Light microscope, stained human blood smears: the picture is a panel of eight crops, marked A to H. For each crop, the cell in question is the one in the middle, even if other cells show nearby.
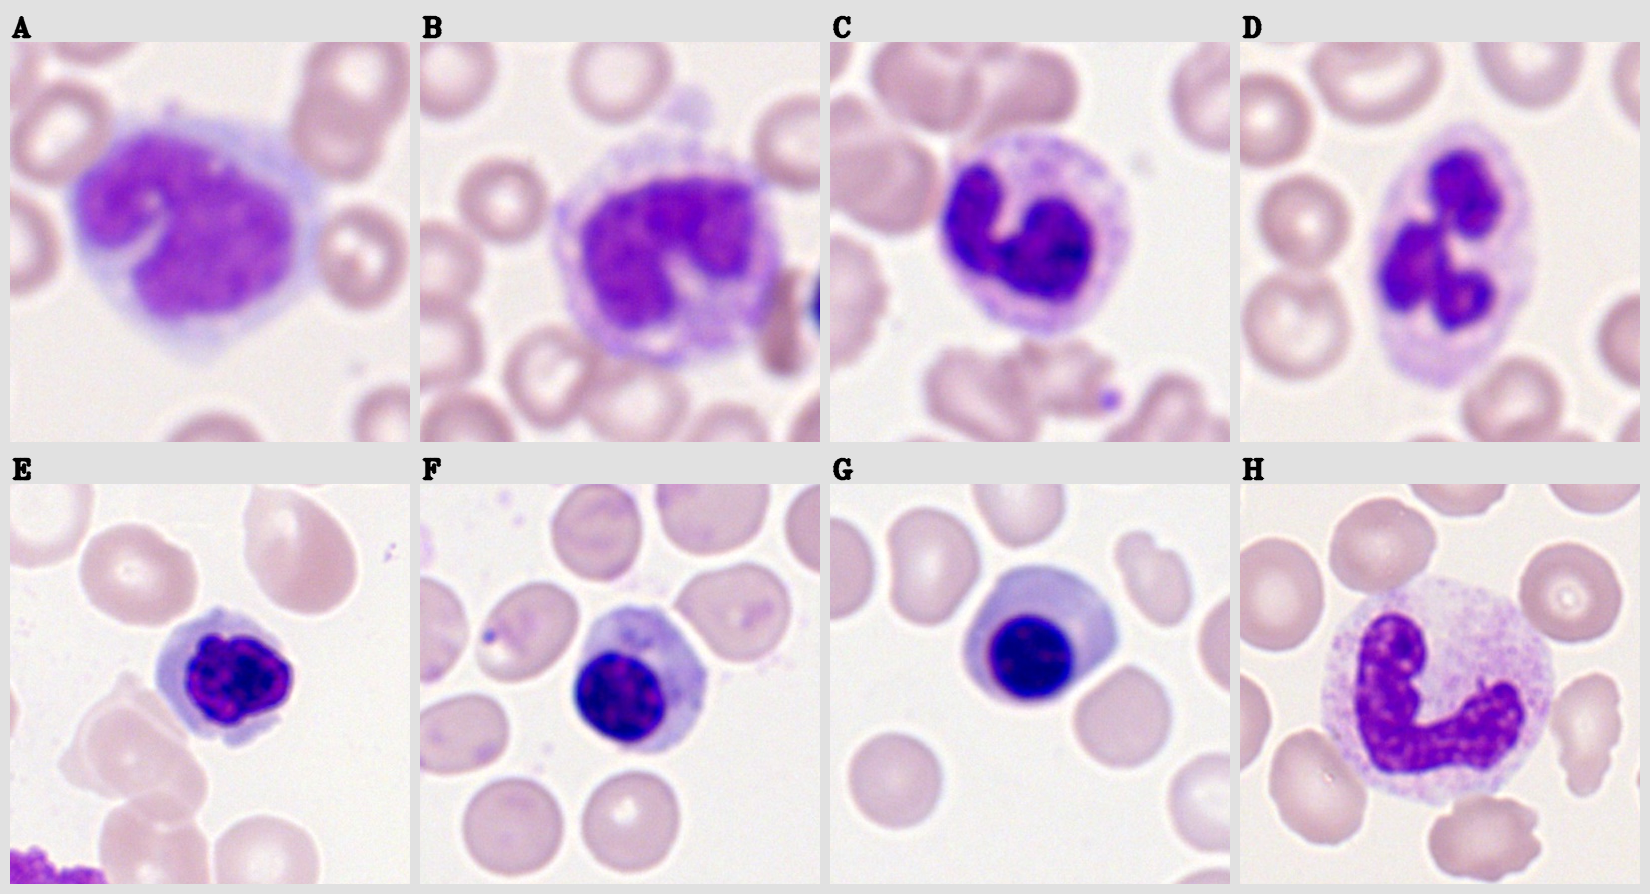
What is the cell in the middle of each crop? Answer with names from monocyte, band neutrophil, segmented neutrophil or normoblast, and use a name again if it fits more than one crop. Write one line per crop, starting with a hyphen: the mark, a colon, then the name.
- A: monocyte
- B: band neutrophil
- C: band neutrophil
- D: segmented neutrophil
- E: normoblast
- F: normoblast
- G: normoblast
- H: band neutrophil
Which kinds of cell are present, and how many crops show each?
band neutrophil: 3
normoblast: 3
monocyte: 1
segmented neutrophil: 1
